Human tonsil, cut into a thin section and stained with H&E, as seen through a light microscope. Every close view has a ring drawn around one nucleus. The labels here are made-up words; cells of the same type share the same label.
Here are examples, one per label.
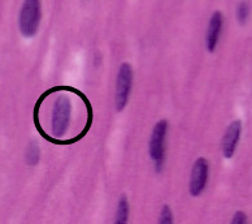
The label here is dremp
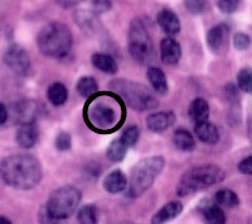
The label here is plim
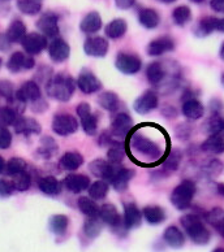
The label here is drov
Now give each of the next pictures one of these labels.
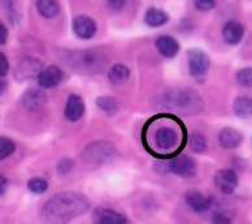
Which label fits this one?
plim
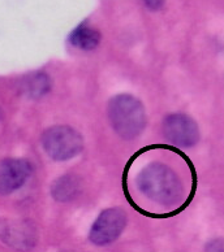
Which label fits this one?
dremp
